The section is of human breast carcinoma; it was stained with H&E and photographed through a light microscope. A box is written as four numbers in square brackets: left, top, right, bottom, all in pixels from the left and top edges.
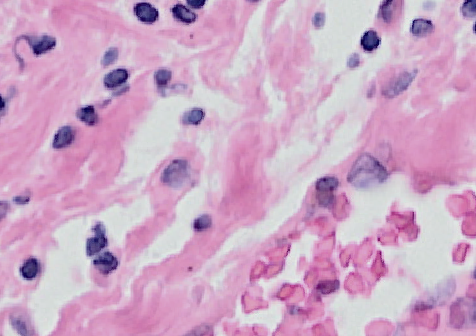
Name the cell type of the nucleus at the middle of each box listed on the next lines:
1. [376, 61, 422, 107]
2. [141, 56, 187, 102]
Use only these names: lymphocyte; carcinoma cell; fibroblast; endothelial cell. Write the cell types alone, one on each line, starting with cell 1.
fibroblast
lymphocyte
